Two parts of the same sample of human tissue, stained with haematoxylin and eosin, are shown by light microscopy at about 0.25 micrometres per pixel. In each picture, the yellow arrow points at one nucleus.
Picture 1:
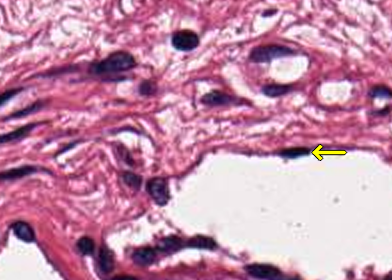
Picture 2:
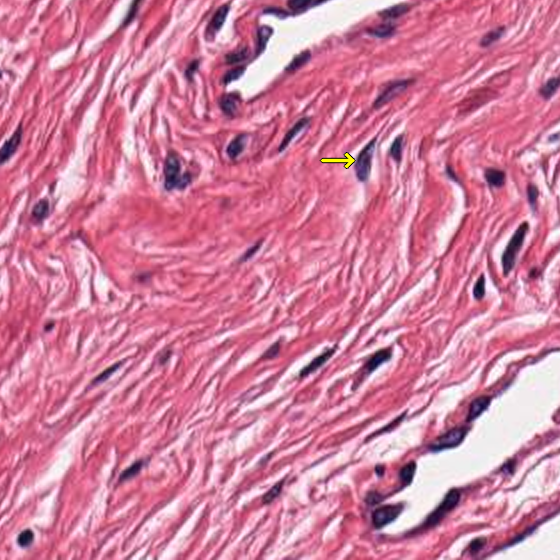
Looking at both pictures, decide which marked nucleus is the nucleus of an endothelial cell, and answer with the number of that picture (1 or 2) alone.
1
